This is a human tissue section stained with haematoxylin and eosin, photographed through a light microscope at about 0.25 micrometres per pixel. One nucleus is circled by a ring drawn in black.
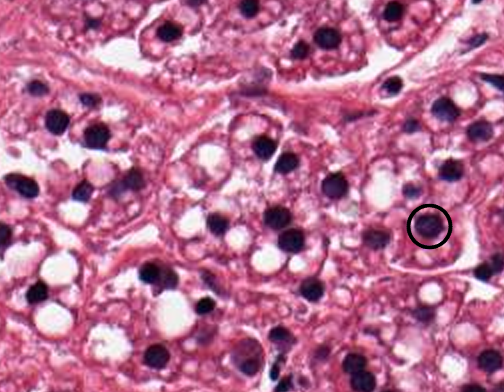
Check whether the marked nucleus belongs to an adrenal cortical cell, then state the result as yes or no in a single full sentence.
Yes, in this field of view the marked nucleus belongs to an adrenal cortical cell.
